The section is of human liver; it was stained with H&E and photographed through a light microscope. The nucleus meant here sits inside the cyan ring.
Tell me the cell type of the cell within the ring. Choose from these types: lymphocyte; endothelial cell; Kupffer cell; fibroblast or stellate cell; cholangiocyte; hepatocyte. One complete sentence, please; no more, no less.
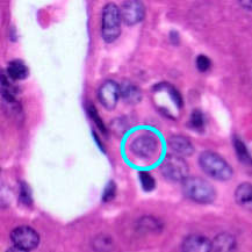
It is a cholangiocyte that the cell within the ring represents.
